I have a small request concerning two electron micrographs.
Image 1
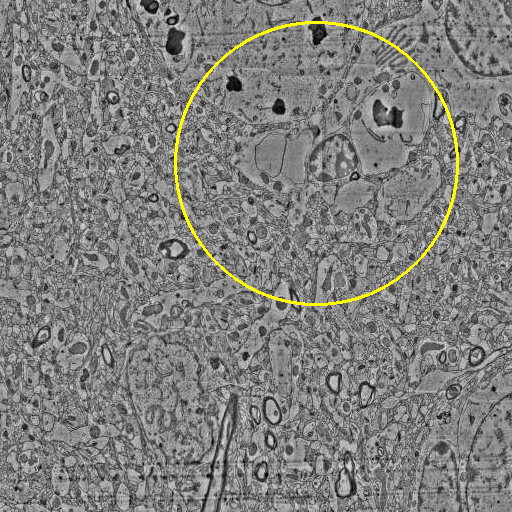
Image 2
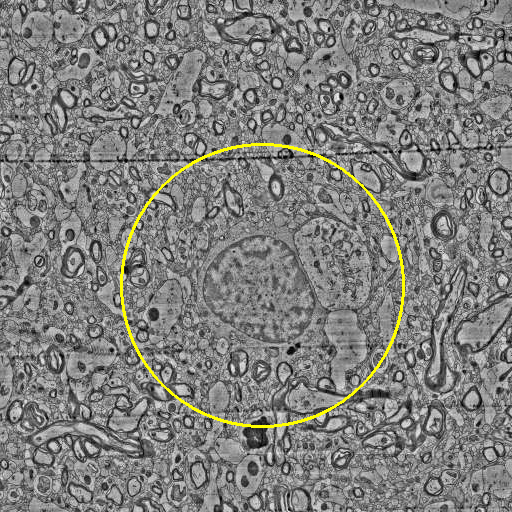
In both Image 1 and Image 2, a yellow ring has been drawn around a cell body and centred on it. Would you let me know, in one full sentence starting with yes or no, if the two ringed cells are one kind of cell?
No, the cells ringed in Image 1 and Image 2 are two kinds of cell.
